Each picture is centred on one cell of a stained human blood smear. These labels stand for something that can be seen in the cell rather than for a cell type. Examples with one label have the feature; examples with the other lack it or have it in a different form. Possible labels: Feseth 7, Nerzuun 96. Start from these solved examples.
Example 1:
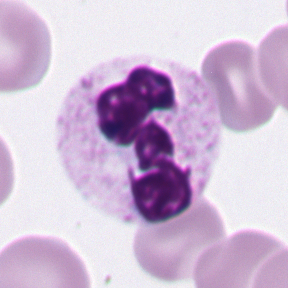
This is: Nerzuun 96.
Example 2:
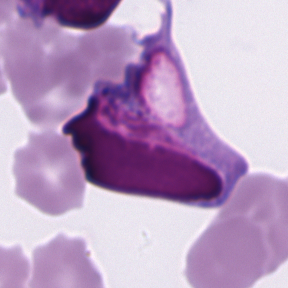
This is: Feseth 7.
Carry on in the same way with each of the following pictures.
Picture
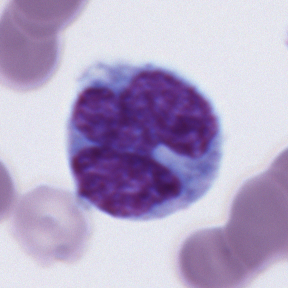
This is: Nerzuun 96.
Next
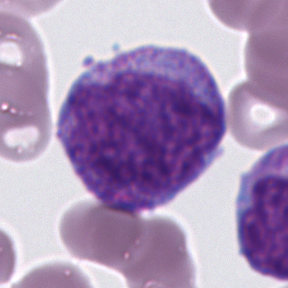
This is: Feseth 7.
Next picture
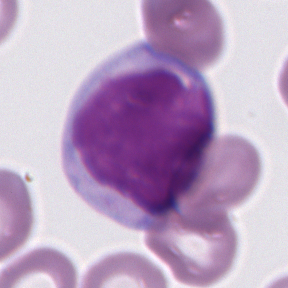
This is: Nerzuun 96.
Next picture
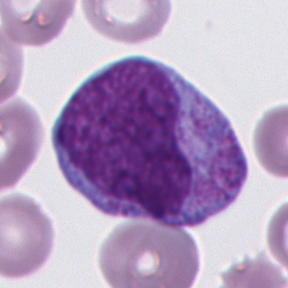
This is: Nerzuun 96.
